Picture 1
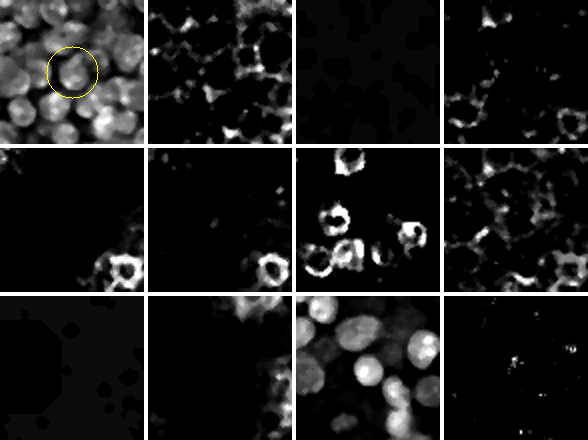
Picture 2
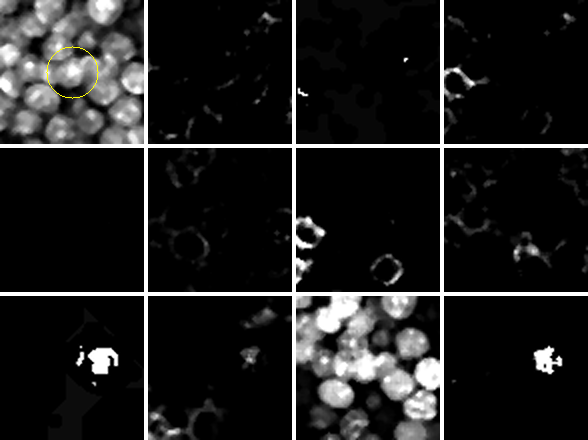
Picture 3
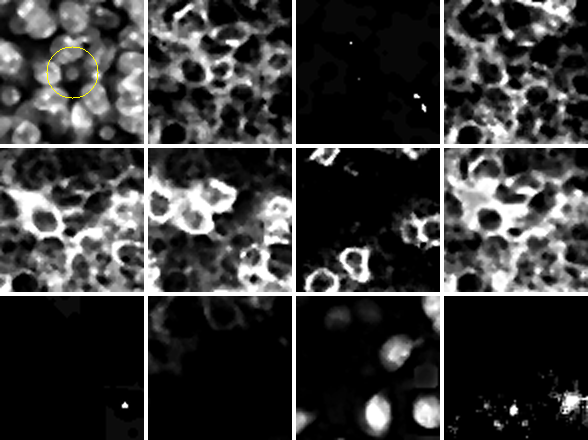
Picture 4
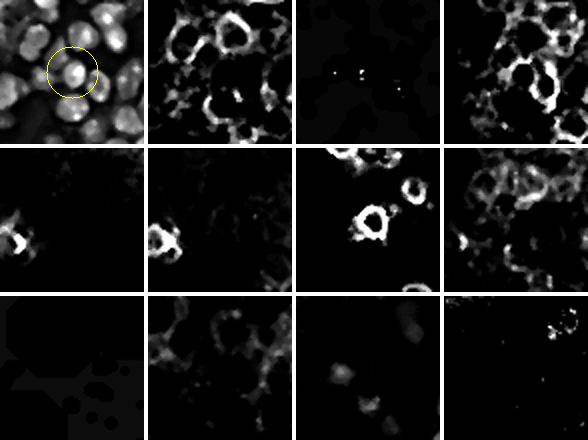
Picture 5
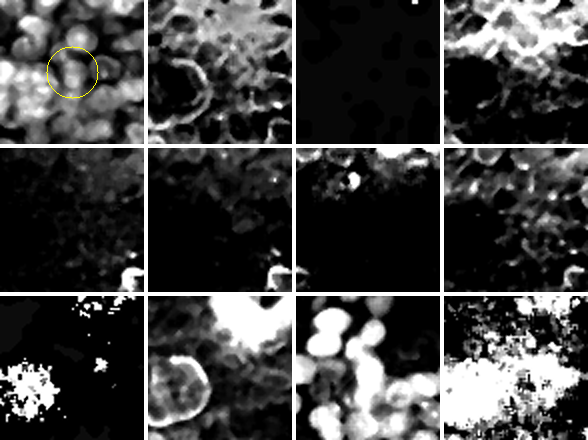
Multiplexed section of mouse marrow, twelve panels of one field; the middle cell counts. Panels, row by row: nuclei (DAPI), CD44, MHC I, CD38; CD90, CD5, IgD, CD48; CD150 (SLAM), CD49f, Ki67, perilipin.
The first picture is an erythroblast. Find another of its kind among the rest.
Picture 2.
